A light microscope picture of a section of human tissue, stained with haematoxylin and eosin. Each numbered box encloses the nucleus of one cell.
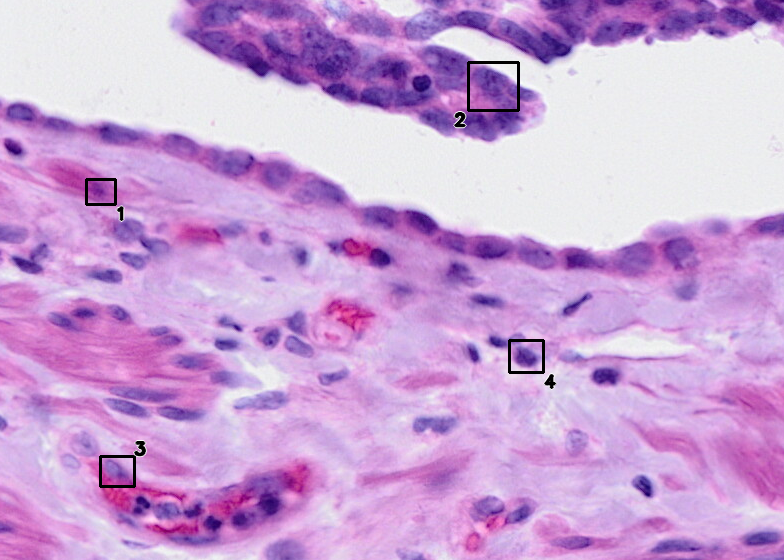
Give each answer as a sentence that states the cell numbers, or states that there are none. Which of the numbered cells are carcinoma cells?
Cell 2 is a carcinoma cell; every other numbered cell is something else.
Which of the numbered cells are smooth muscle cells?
Only one marked cell, number 1, is a smooth muscle cell.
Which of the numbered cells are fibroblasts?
In this field, none of the numbered cells are fibroblasts.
